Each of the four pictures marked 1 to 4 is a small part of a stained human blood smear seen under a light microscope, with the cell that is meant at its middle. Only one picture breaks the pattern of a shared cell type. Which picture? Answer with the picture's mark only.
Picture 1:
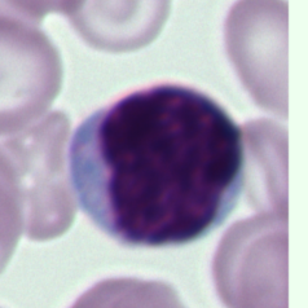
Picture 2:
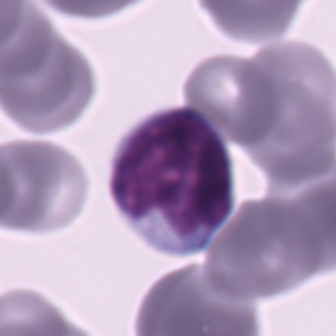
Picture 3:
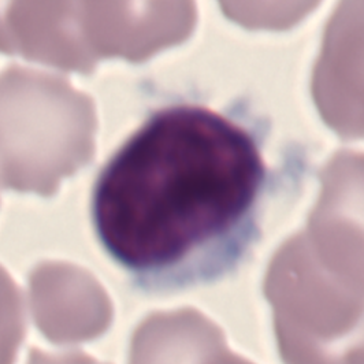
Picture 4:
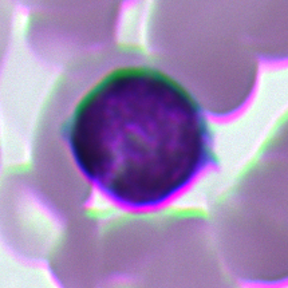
3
